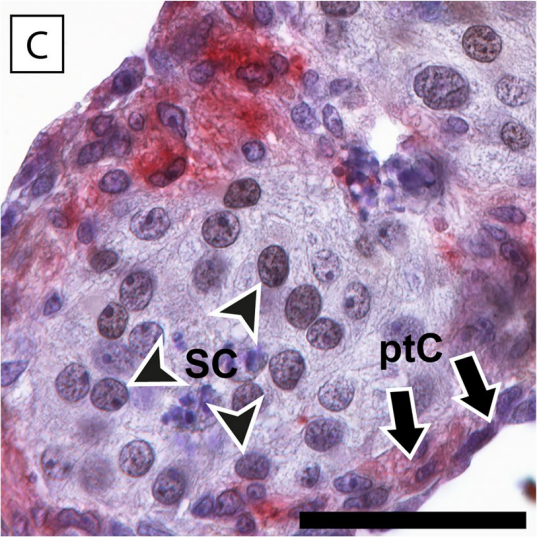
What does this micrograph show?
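A cross-section through a cord-like cluster of Sertoli cells bordered by flattened peritubular cells. The core holds many cells with large round to oval nuclei, finely granular chromatin and visible nucleoli; the nuclei take a brownish-purple tone. Their cytoplasm is pale lilac and the cell borders are indistinct. Toward the edges, red-stained cells lie flattened with elongated nuclei, forming strands around the cluster.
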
